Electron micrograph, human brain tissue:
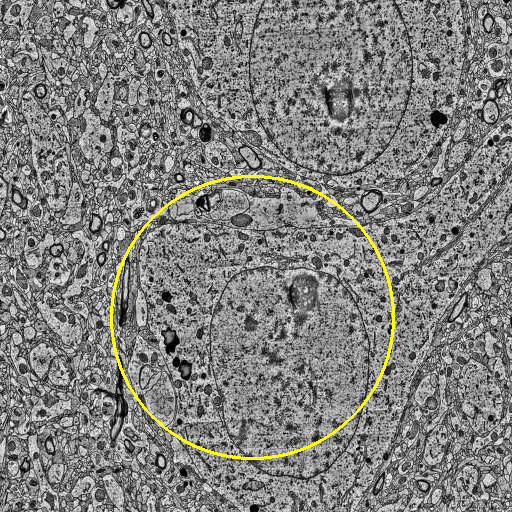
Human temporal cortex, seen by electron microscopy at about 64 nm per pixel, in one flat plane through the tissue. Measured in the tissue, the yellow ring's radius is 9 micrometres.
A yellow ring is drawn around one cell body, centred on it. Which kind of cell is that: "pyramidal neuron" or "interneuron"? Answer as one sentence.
It is a pyramidal neuron at the centre of the ring.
